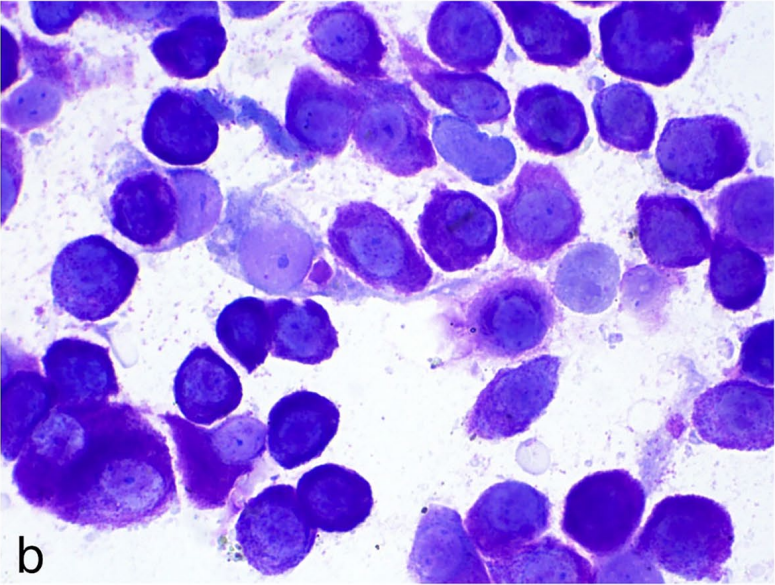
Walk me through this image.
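This cytological preparation shows a population of discrete, round mast cells lying singly or in loose groups. Each cell has a round to oval nucleus, often centrally placed, surrounded by a moderate to abundant rim of cytoplasm. The cytoplasm is packed with numerous fine purple to violet granules, which in the darkest cells obscure the nuclear detail. Some cells stain more lightly, letting the nucleus be seen clearly. An occasional larger, paler, more elongated cell is present among the round cells.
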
